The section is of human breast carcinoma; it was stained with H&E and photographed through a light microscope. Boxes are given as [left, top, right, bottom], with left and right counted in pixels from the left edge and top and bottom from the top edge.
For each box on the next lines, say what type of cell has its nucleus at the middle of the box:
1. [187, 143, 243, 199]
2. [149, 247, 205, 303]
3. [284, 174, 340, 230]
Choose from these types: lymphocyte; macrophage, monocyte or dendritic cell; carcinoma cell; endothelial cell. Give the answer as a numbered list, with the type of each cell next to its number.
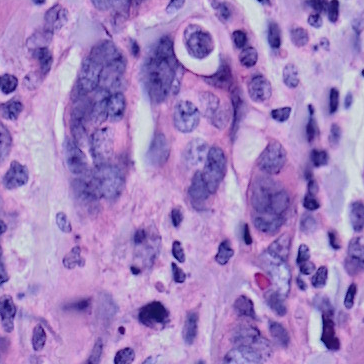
1. carcinoma cell
2. lymphocyte
3. lymphocyte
